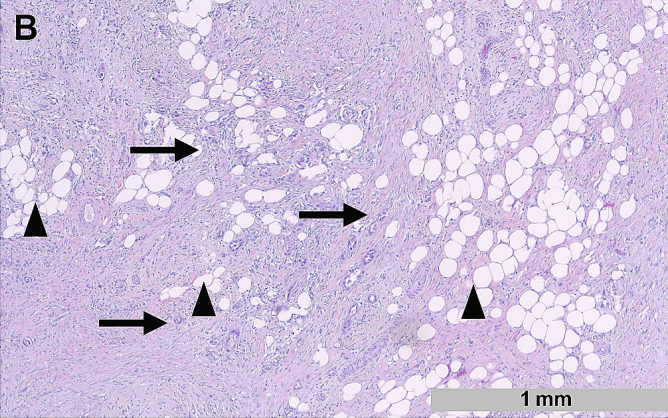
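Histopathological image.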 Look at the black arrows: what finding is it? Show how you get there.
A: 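Purple cellular fibrous tissue runs in bands between groups of fat vacuoles. Scattered small glands and cell groups lie within a dense stroma.
Diffuse infiltration of tumor cells.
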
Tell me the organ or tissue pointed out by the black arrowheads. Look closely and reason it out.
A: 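Clusters of large round empty vacuoles with thin walls. No nuclei visible within the vacuoles.
Fat tissue.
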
